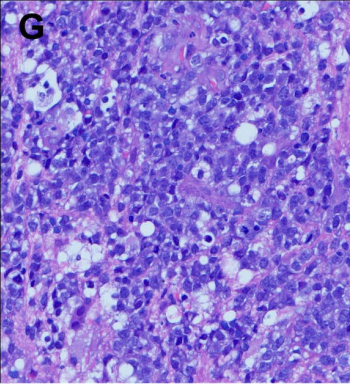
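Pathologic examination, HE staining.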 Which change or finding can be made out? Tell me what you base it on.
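Scattered small dense fragments surrounded by clear halos. Several clear vacuolated spaces among the tumor cells.
Answer: numerous apoptotic bodies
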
